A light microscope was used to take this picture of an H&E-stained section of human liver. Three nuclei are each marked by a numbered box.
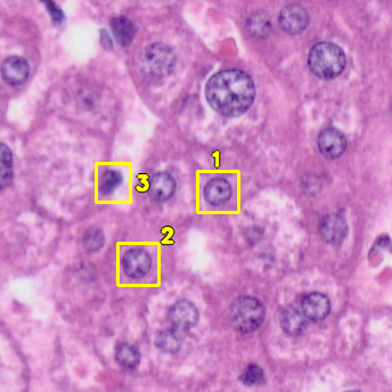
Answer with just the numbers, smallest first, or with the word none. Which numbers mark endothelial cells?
3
